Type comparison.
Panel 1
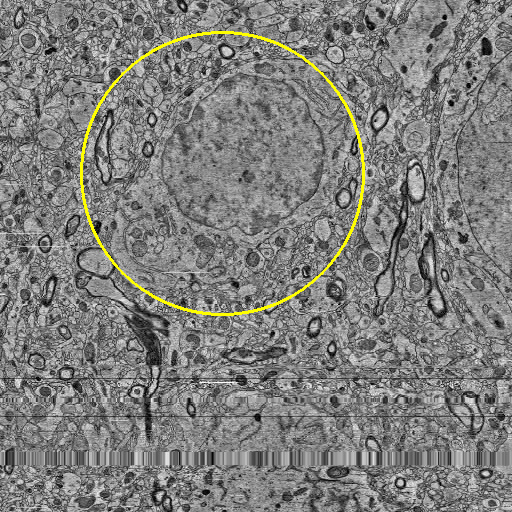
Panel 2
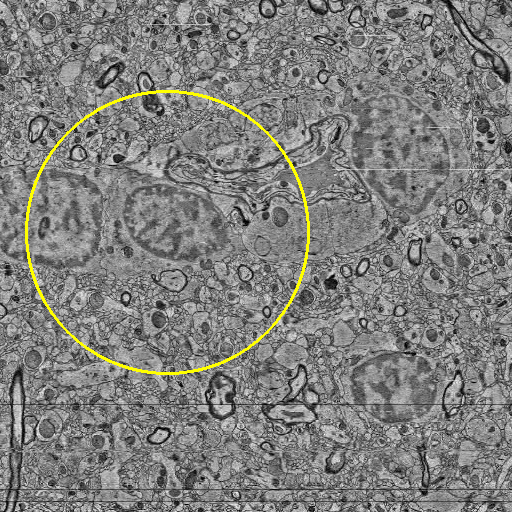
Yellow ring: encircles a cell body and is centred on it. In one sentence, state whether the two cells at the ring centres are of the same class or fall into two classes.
In these panels, the two cells at the ring centres fall into two classes.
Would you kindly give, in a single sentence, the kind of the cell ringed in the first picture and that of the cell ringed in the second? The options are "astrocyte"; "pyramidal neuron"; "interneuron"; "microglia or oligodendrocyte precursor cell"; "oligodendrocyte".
The second cell is an oligodendrocyte, and the first cell is an interneuron.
